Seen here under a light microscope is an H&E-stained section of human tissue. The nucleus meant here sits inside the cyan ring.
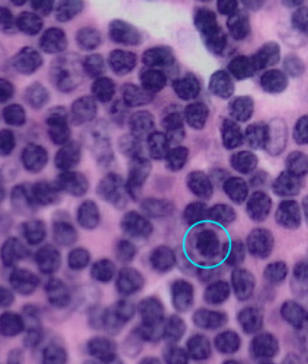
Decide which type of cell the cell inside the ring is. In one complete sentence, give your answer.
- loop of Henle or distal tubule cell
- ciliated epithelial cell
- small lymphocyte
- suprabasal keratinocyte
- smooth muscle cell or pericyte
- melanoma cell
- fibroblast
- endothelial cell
For cell typing purposes, the cell inside the ring is a small lymphocyte.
